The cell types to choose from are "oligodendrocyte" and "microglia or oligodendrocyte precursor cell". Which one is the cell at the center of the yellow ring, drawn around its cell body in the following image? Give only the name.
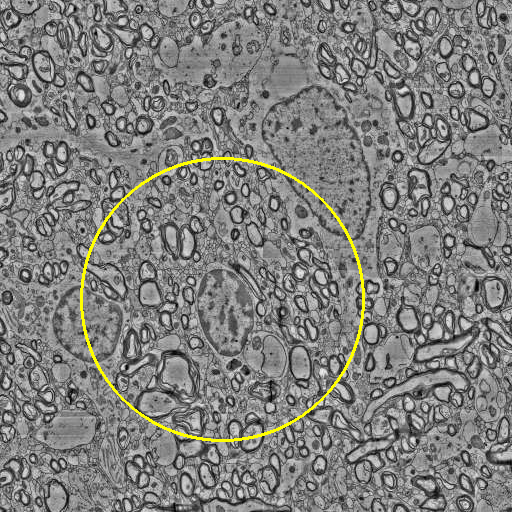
microglia or oligodendrocyte precursor cell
